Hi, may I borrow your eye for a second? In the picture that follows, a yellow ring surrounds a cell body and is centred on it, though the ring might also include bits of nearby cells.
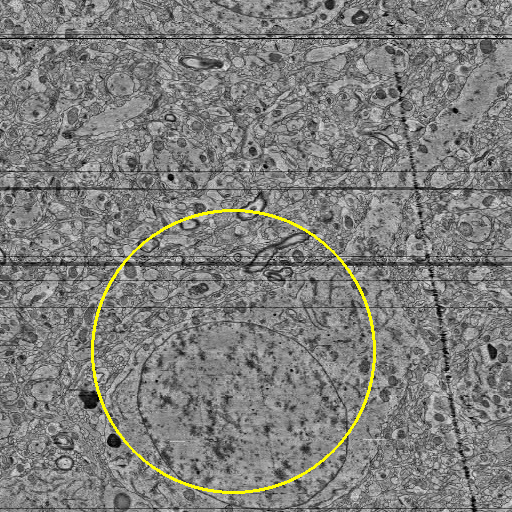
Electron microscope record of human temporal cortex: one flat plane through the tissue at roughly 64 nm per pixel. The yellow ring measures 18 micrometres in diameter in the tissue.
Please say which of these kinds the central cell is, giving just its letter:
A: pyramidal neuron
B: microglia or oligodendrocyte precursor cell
A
